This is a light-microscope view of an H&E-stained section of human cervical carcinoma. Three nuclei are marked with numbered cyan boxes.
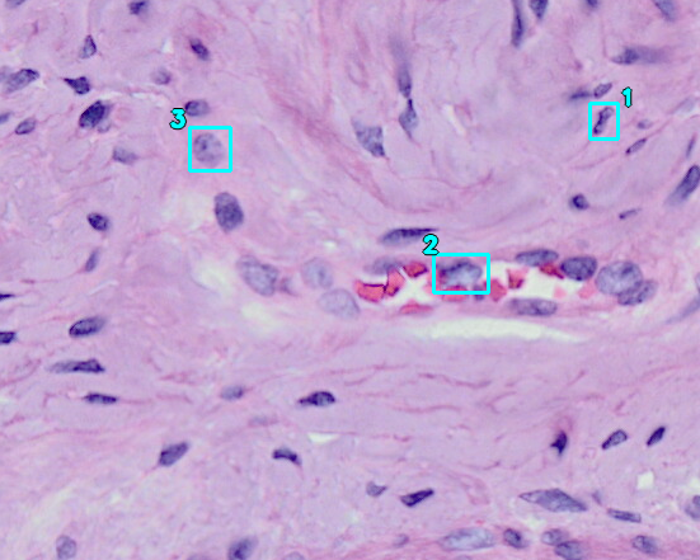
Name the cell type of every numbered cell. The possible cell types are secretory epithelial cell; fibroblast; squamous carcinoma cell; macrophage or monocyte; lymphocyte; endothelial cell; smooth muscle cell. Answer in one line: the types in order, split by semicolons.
fibroblast; endothelial cell; fibroblast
